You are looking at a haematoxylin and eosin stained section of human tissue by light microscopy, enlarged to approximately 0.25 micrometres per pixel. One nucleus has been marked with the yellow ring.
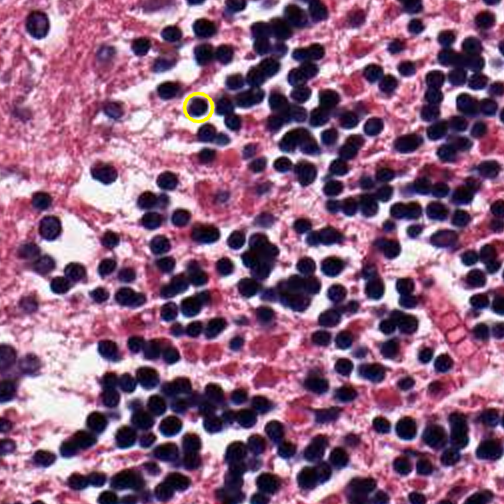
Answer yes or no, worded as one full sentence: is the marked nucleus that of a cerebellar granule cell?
Yes, a cerebellar granule cell is the cell to which the marked nucleus belongs.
